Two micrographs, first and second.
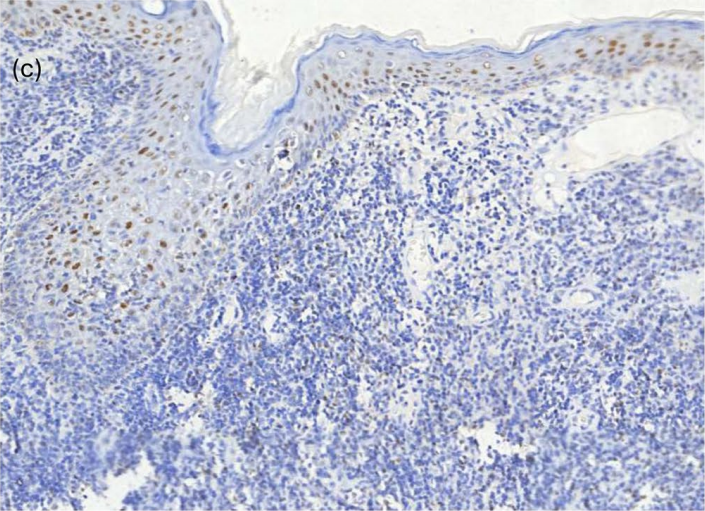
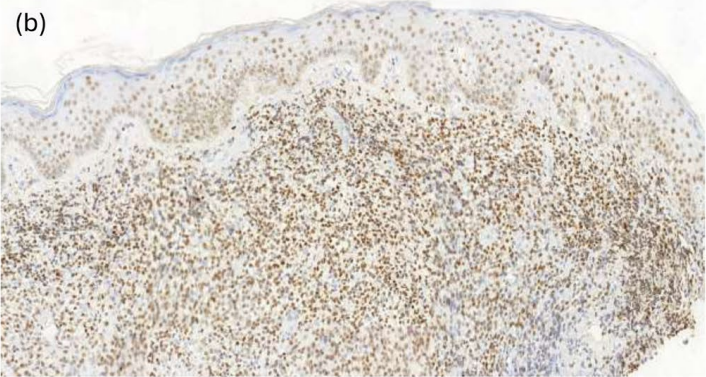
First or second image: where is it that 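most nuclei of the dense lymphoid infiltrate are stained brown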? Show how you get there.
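First image: the dense infiltrate beneath the epithelium is almost entirely blue, with only rare brown nuclei. Second image: the dense infiltrate beneath the epithelium shows brown nuclei throughout.
The second image.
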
